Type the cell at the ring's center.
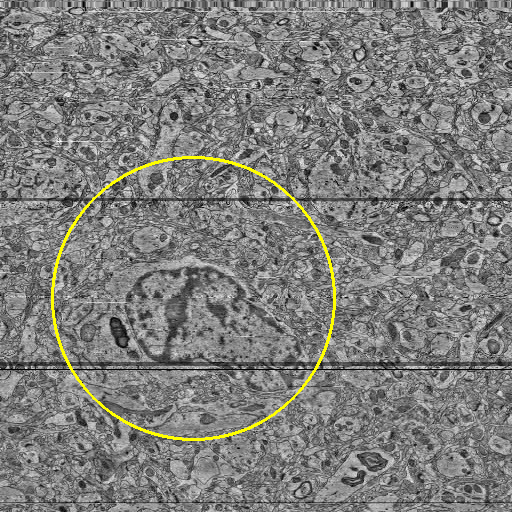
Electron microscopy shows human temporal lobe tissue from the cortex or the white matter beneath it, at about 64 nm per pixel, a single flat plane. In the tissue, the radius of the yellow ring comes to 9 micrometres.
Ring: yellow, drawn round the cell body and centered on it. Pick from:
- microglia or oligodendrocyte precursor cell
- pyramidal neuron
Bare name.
microglia or oligodendrocyte precursor cell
